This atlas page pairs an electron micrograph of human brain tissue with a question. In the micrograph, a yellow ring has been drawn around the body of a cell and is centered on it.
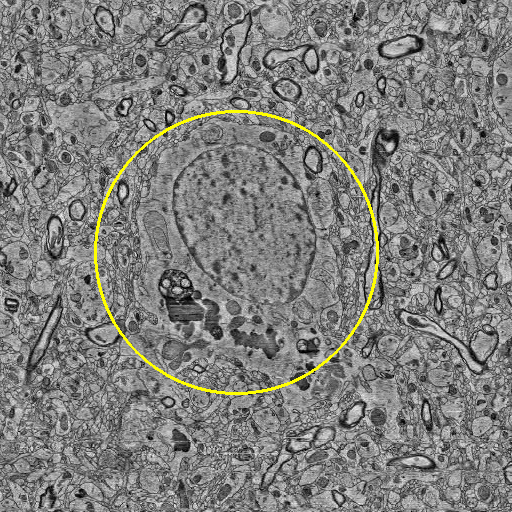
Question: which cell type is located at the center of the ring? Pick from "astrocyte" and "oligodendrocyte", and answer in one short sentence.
Located at the center of the ring is an astrocyte.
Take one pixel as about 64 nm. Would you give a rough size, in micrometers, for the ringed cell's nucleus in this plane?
Approximately 11 by 8 micrometers in this plane.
